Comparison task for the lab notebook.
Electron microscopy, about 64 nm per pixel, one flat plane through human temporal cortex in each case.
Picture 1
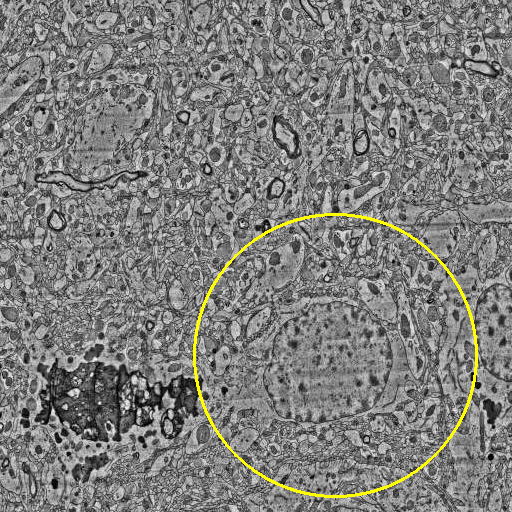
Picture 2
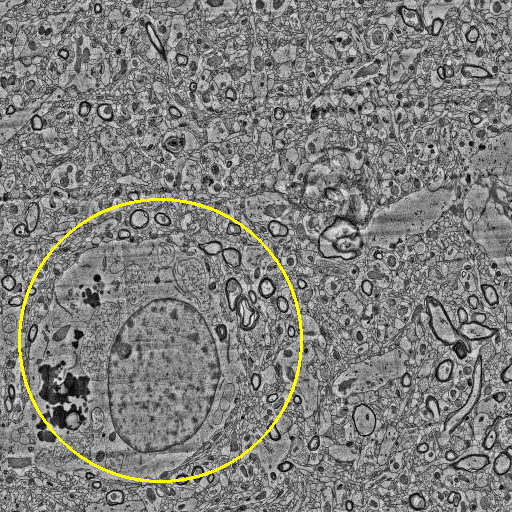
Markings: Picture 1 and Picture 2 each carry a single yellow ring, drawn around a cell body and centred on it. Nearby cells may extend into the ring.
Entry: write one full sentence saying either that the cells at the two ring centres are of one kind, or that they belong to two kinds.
The cells sitting at the ring centres in Picture 1 and Picture 2 are of one kind.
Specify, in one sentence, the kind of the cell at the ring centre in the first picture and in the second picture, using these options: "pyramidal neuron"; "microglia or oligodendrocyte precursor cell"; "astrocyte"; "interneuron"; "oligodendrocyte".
Each one of the two ringed cells is an astrocyte.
